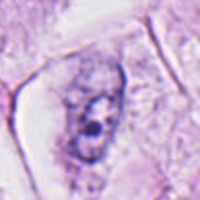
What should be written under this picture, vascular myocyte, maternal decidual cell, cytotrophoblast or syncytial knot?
maternal decidual cell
